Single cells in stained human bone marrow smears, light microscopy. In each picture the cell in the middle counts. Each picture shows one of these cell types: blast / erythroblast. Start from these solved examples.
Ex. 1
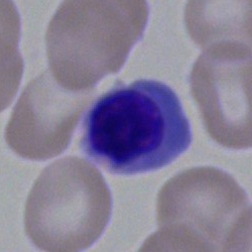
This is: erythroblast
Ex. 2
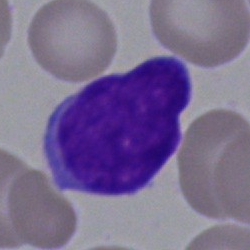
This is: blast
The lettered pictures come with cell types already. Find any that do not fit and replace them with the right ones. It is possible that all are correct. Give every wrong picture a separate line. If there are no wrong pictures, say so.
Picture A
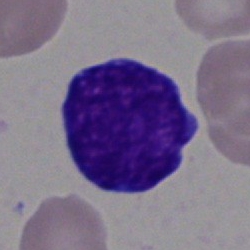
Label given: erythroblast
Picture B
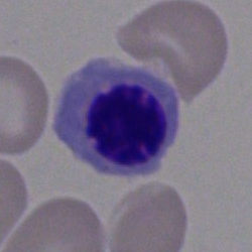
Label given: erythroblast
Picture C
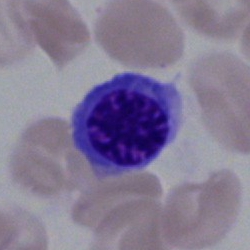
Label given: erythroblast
A is labelled erythroblast; correct label: blast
